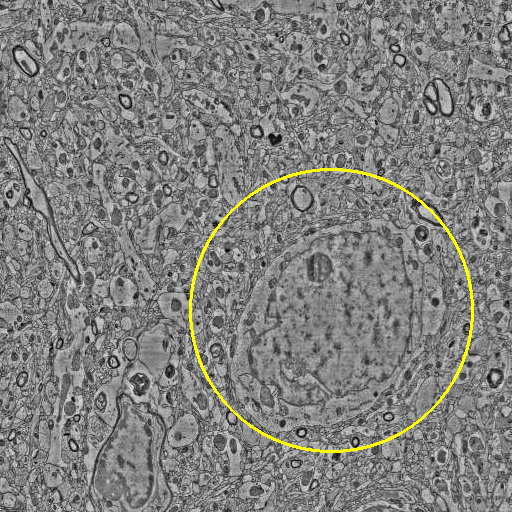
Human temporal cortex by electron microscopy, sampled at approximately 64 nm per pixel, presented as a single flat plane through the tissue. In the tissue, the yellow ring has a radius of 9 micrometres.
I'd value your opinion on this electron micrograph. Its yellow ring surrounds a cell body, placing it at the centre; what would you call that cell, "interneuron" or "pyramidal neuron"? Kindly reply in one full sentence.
It is an interneuron that sits centred within the yellow ring in this micrograph.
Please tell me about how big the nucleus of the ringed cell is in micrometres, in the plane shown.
The ringed cell's nucleus is about 13 micrometres long and 10 micrometres wide in this plane.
